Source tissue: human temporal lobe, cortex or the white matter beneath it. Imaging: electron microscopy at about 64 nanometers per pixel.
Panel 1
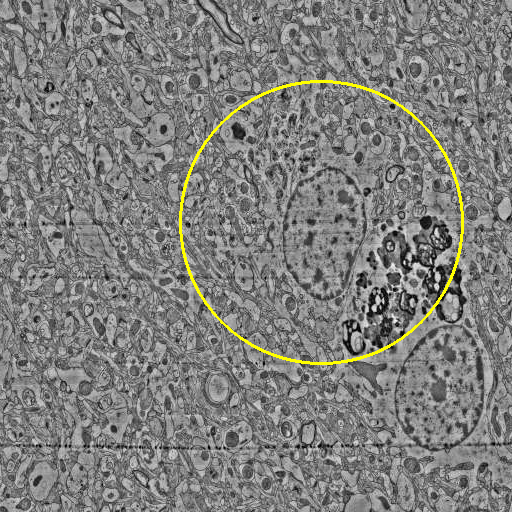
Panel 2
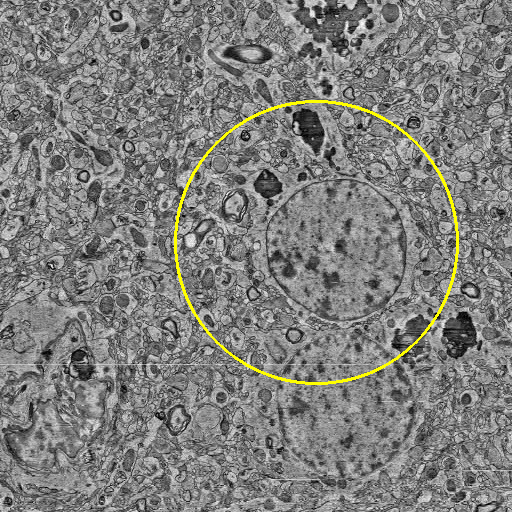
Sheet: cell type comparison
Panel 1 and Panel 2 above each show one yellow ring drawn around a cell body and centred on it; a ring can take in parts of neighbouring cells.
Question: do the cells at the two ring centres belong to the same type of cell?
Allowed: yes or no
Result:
yes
